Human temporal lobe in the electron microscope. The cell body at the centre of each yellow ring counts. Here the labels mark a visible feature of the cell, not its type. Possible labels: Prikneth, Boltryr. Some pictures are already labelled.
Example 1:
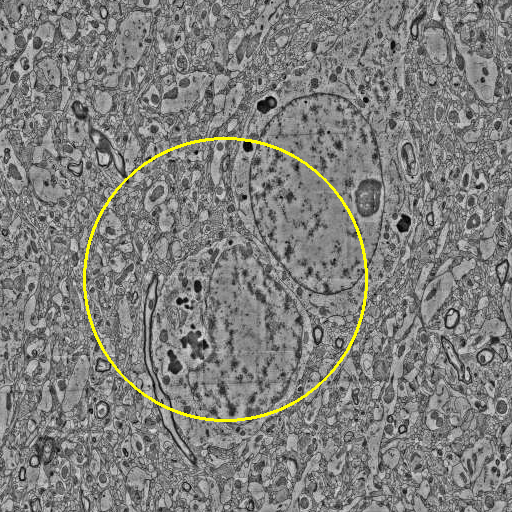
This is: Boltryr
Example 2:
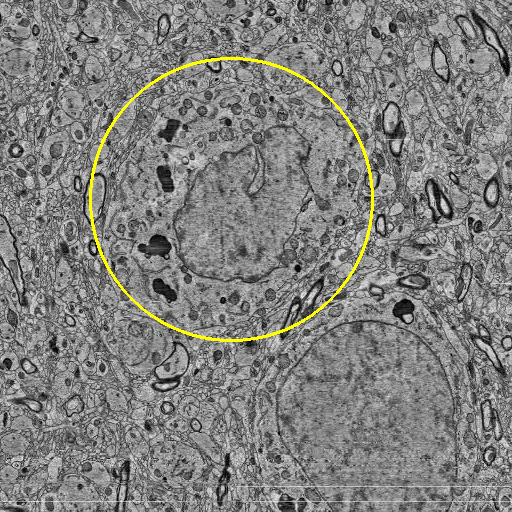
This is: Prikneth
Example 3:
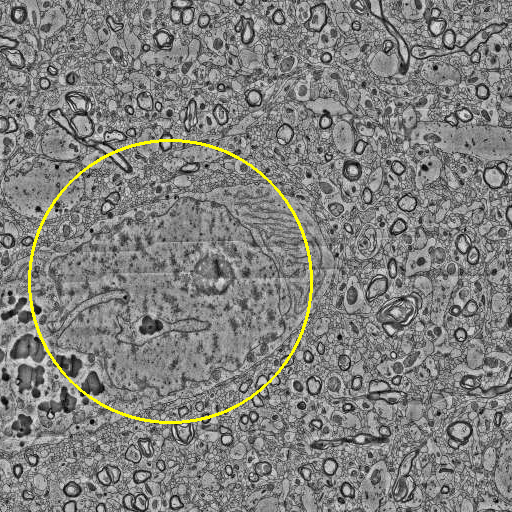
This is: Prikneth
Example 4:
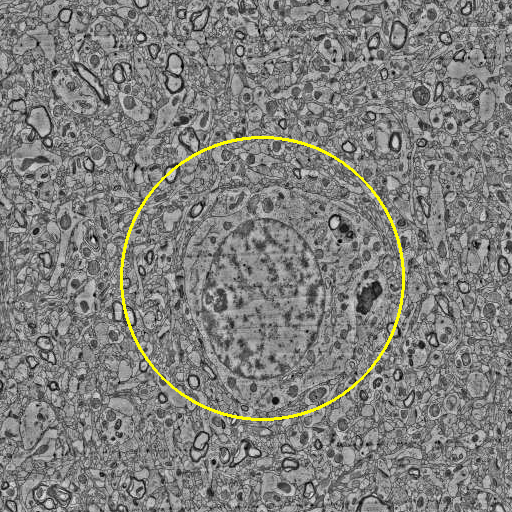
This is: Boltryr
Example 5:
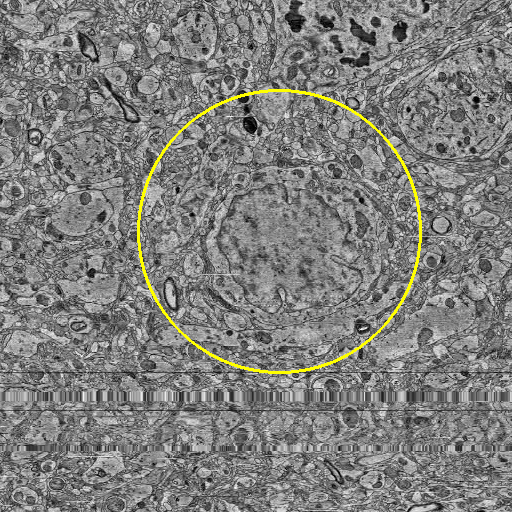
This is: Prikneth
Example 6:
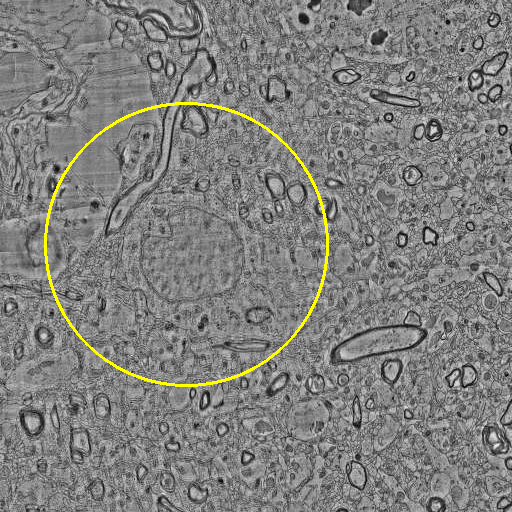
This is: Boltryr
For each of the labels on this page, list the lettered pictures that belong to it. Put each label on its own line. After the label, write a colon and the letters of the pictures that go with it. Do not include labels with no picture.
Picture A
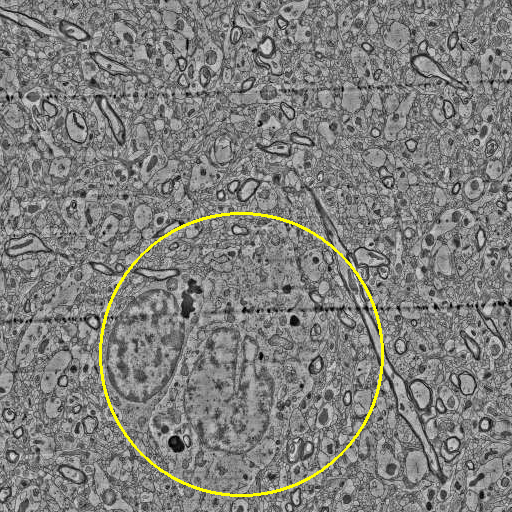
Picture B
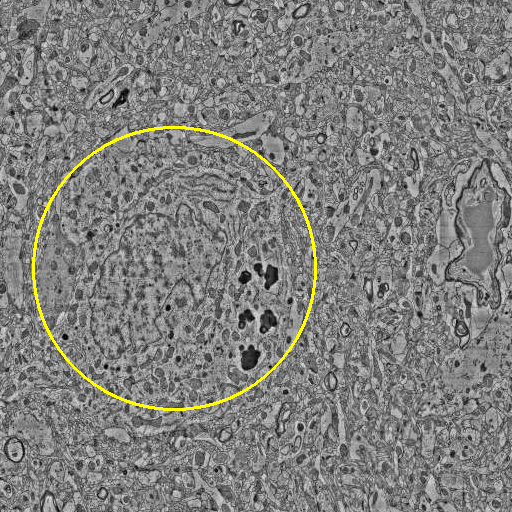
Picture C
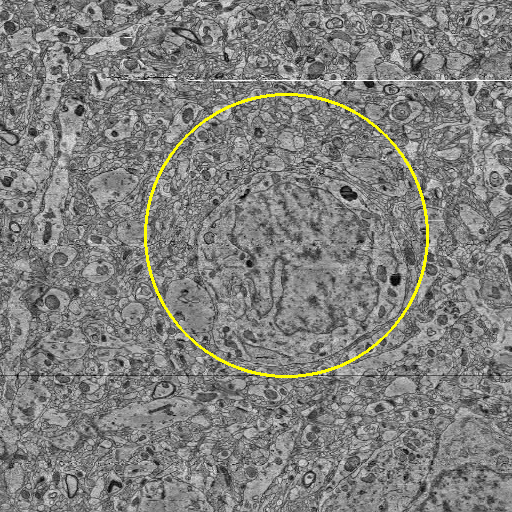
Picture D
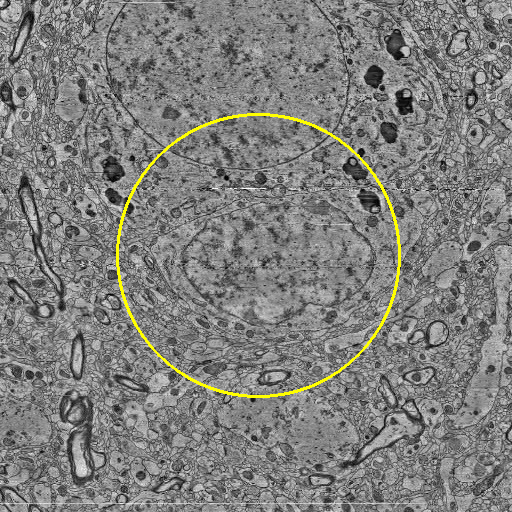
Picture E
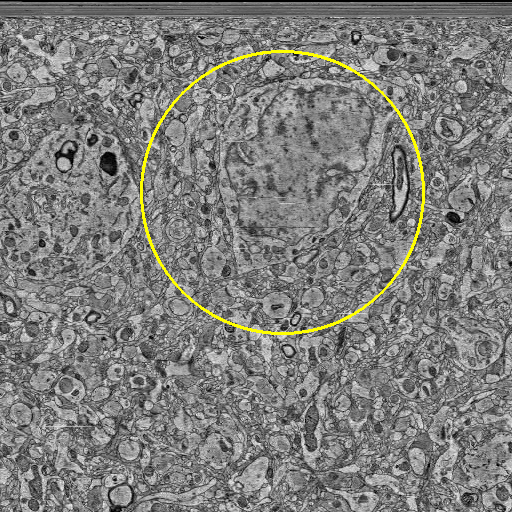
Prikneth: A, B, C, E
Boltryr: D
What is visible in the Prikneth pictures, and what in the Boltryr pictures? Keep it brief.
Prikneth, deeply folded or indented nuclear envelopes; Boltryr, smooth nuclear envelopes without deep folds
